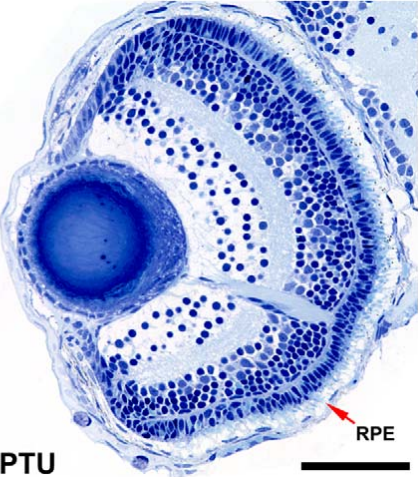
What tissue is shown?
eyes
